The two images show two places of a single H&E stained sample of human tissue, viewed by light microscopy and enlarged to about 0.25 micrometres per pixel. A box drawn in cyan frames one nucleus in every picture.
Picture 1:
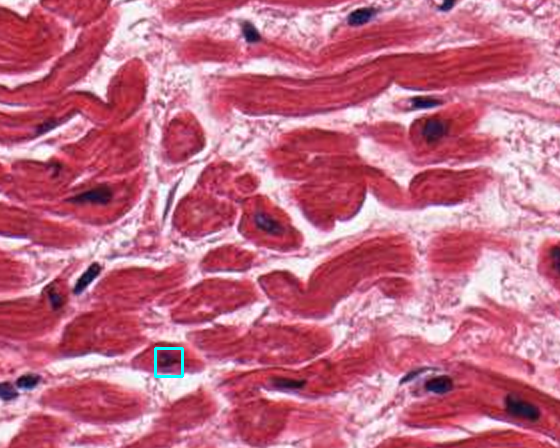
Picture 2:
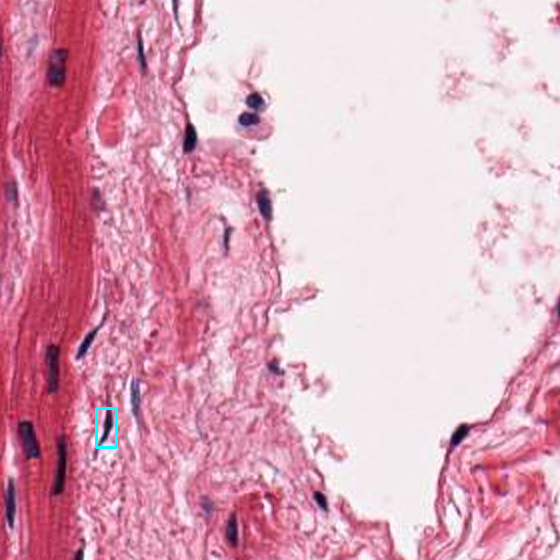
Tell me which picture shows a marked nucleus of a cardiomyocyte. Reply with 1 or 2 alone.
1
